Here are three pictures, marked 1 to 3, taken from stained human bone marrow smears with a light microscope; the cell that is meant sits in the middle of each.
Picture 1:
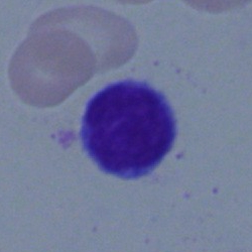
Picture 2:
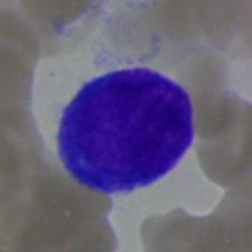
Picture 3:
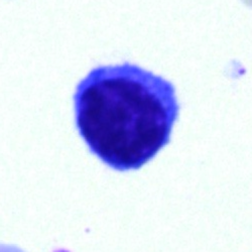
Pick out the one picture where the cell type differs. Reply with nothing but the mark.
2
